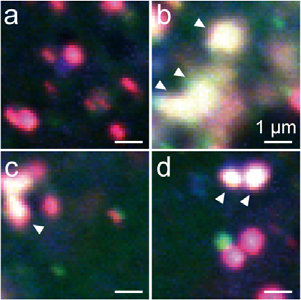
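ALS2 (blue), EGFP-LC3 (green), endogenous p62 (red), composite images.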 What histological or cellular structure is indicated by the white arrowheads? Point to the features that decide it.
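The arrowheads point to small round bright bodies about a micrometre across. The marked bodies appear white where the colours overlap.
Answer: vesicles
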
